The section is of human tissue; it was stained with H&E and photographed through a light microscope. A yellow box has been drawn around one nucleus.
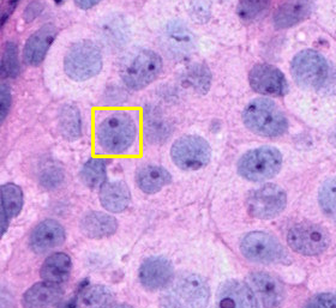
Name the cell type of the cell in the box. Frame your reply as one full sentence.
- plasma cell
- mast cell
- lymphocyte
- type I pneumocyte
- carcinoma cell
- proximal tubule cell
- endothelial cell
Typologically, the cell in the box is a carcinoma cell in this section.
